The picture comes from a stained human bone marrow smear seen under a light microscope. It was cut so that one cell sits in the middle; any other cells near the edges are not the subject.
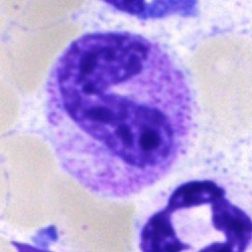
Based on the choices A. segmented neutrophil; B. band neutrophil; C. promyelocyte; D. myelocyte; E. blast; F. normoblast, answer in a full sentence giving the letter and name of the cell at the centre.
The right choice is option B: the cell in the middle is a band neutrophil.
